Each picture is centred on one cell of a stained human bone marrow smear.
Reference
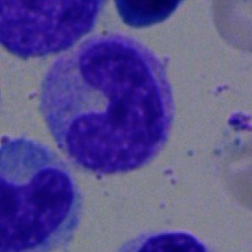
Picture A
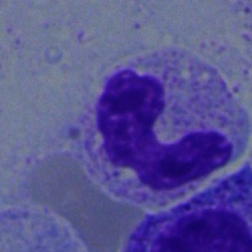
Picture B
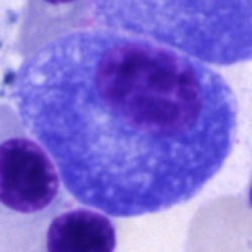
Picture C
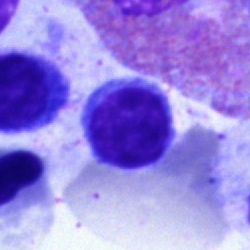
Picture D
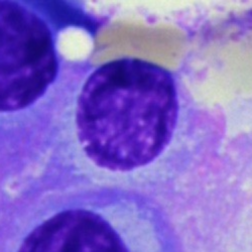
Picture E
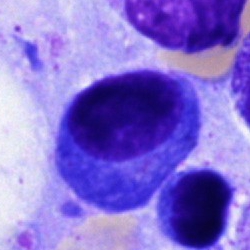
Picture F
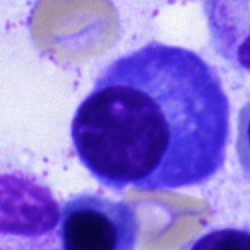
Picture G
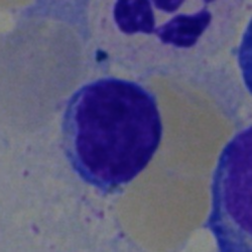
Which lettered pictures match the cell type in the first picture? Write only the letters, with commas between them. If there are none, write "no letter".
A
